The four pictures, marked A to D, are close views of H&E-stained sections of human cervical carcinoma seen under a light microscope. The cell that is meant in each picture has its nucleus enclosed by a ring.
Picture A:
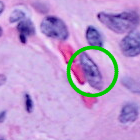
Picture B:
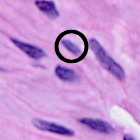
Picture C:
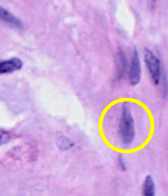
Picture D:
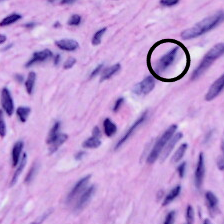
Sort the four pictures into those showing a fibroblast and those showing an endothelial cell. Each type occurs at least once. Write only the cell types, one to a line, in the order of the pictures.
endothelial cell
fibroblast
fibroblast
fibroblast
